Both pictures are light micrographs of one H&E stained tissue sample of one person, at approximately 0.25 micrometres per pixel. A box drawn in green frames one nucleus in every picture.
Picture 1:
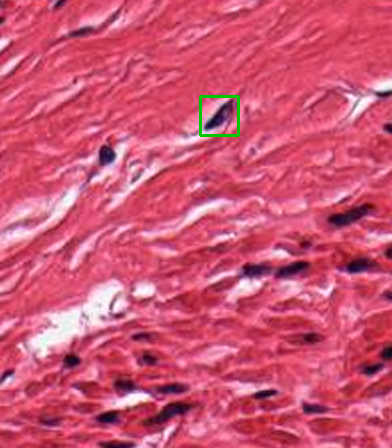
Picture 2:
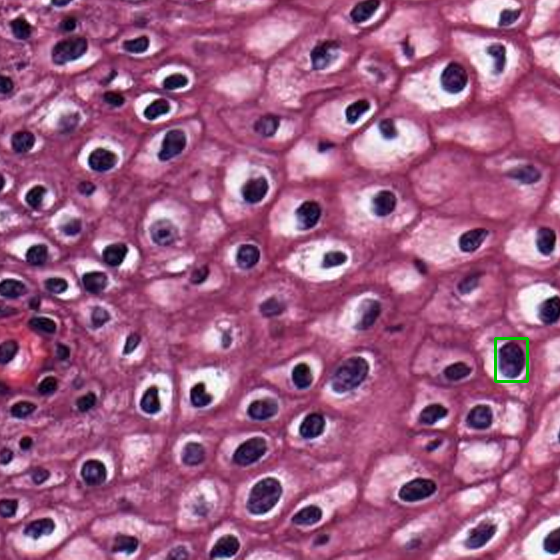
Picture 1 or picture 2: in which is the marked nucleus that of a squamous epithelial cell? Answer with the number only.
2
